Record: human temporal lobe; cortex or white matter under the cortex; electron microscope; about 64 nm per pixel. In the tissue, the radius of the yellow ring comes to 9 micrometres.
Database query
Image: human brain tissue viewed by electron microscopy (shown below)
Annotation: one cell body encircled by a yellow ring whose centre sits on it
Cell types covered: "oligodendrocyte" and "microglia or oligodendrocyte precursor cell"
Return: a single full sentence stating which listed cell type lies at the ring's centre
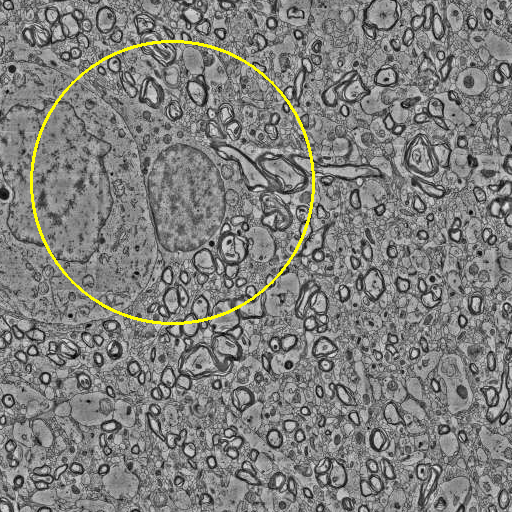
In the image, the cell lying at the ring's centre is an oligodendrocyte.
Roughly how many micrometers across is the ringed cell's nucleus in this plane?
The nucleus of the ringed cell is approximately 7 by 5 micrometres in this plane.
